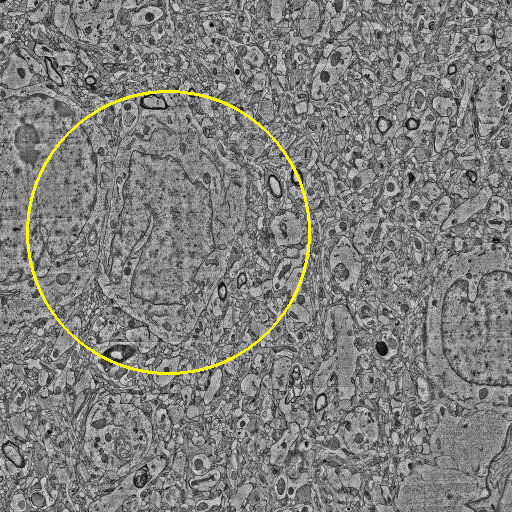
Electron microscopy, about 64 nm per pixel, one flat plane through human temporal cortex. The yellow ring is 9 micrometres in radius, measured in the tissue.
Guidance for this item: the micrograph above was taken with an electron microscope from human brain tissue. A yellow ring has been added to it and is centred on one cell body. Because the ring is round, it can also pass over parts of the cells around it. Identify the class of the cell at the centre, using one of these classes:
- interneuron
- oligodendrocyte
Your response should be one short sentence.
The ring surrounds the body of an interneuron.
